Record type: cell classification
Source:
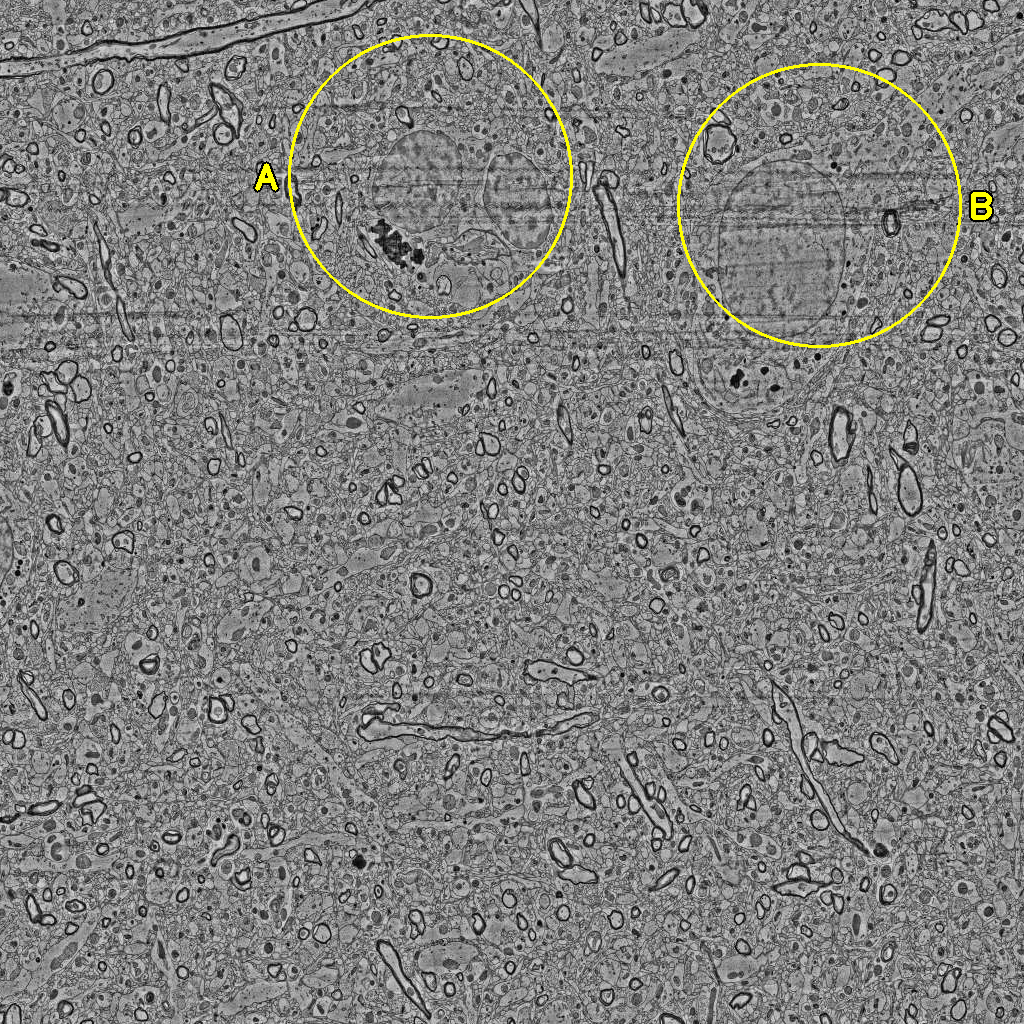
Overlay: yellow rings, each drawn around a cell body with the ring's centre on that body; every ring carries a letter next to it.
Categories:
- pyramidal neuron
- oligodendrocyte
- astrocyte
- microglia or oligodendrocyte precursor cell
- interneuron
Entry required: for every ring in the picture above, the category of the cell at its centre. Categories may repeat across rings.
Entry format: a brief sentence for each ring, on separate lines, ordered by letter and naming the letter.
At the centre of ring A lies an oligodendrocyte.
At the centre of ring B lies a pyramidal neuron.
